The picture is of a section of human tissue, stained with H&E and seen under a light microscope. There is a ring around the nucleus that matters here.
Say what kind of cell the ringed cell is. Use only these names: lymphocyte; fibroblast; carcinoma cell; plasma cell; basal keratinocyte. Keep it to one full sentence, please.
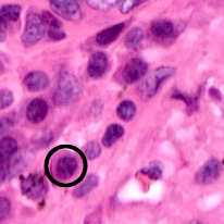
As classified here, the ringed cell is a plasma cell.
